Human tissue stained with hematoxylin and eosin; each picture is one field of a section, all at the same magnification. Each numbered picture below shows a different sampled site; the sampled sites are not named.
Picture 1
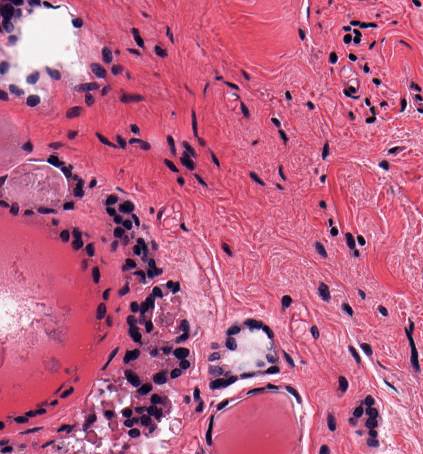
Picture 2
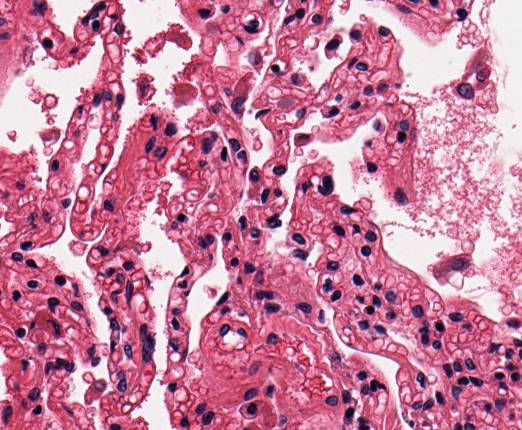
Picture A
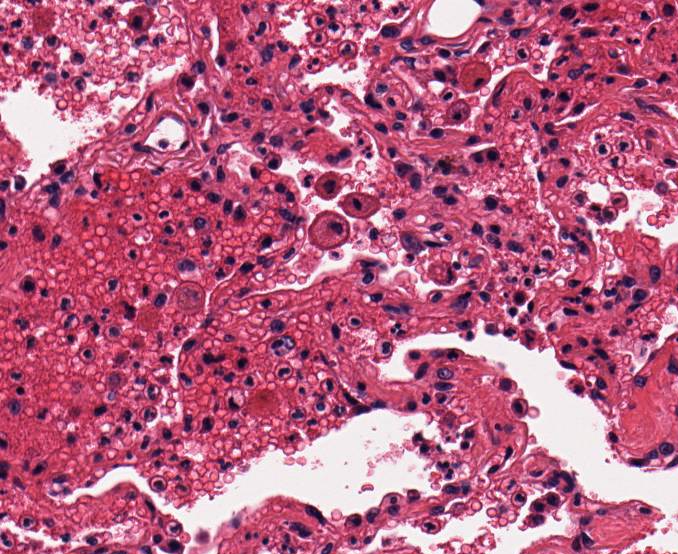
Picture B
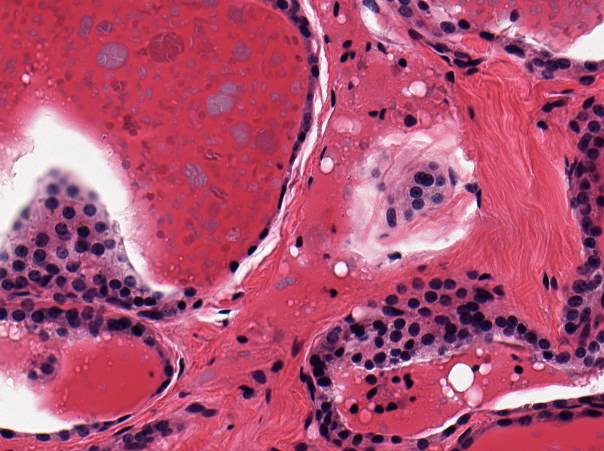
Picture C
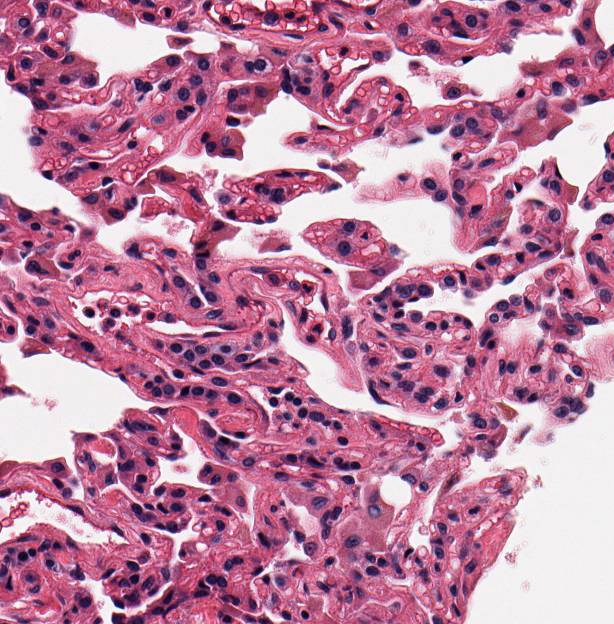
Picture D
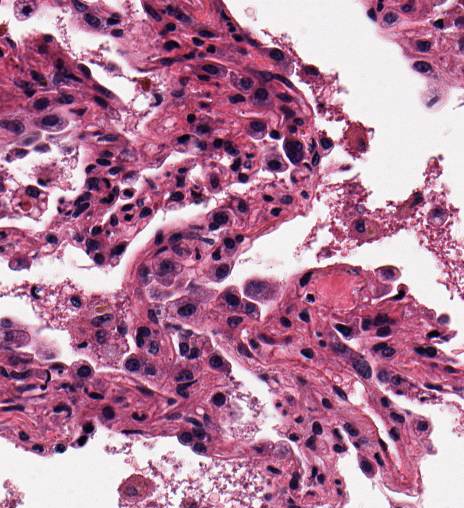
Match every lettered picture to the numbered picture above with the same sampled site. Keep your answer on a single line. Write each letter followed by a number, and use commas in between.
A 2, B 1, C 2, D 2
